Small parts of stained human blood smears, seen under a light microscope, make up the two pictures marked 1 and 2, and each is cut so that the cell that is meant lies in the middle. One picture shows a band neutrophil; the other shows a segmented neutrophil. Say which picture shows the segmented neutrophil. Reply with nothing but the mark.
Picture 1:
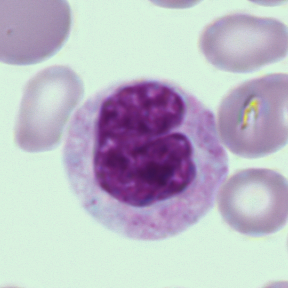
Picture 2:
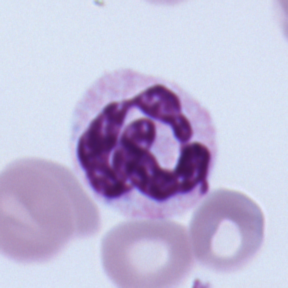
2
